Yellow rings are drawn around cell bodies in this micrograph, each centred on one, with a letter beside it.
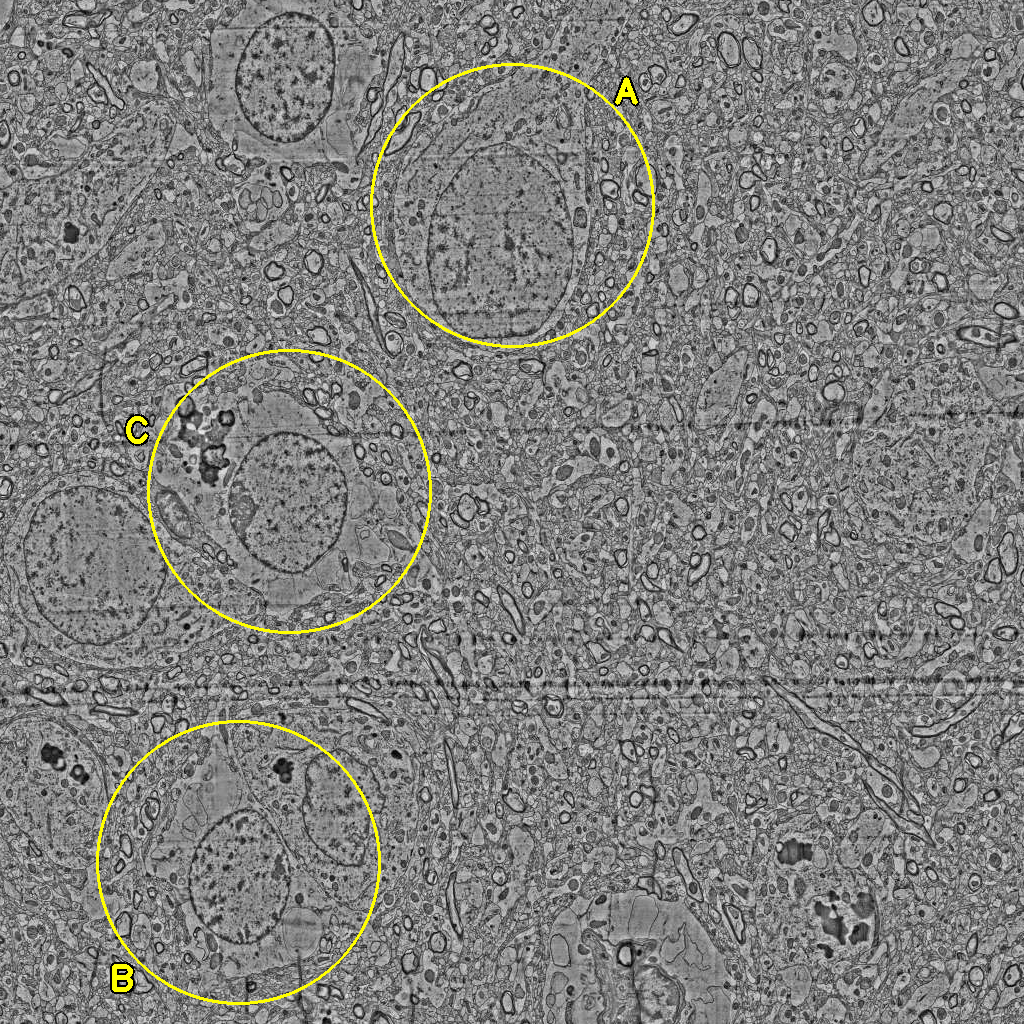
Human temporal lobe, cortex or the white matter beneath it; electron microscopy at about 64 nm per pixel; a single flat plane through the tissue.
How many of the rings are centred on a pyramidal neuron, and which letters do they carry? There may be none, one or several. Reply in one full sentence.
Only one of the rings is centred on a pyramidal neuron, and that particular ring is labelled A.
